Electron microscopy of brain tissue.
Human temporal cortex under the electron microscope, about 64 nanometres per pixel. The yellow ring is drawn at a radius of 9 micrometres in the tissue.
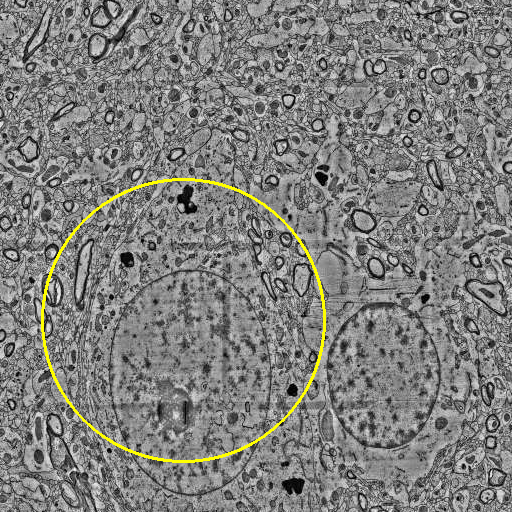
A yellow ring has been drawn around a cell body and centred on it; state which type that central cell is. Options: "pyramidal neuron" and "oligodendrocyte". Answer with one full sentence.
The cell at the middle of the yellow ring is a pyramidal neuron in this picture.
